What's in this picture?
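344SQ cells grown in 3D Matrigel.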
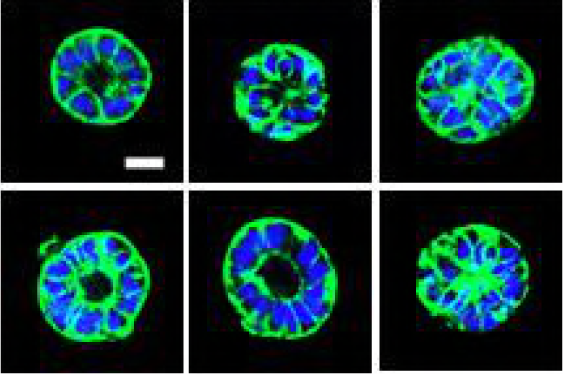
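In several acini the cells form a single layer around a central dark space, a hollow lumen. In others the centre is smaller or partly filled by cells, so the lumen is less distinct. The green outline is strongest at the outer surface of the ring and along the contacts between neighbouring cells.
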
